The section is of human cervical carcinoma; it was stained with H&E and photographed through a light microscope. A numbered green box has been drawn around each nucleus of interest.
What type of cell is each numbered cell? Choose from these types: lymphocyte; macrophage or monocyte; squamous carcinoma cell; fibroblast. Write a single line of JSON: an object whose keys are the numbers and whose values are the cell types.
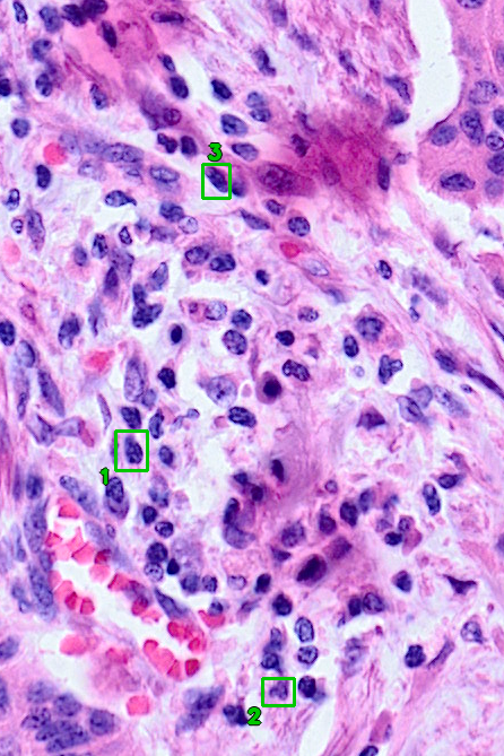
{"1": "lymphocyte", "2": "macrophage or monocyte", "3": "lymphocyte"}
